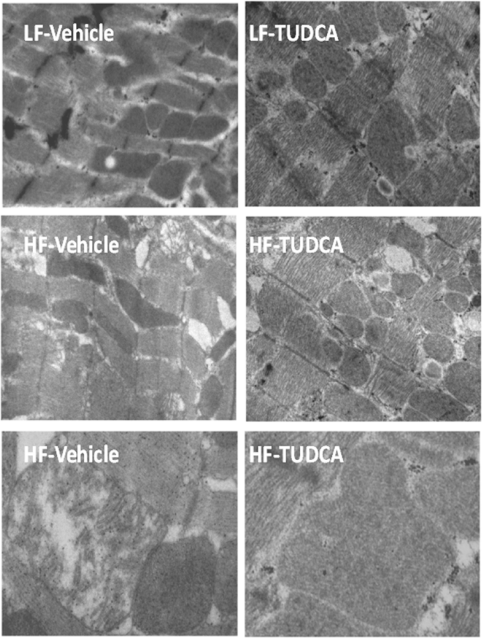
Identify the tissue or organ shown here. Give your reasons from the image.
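Myocardium. Banded fibrillar bundles with regular cross-striations run through the images. Rows of dense oval organelles lie packed between the fibrillar bundles.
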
